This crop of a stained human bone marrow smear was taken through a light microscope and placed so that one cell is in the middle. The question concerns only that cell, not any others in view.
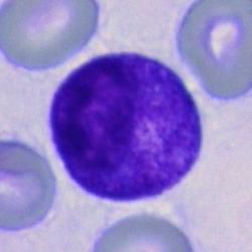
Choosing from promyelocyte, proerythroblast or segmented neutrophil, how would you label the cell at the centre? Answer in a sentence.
In this smear crop, the middle cell is a promyelocyte.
